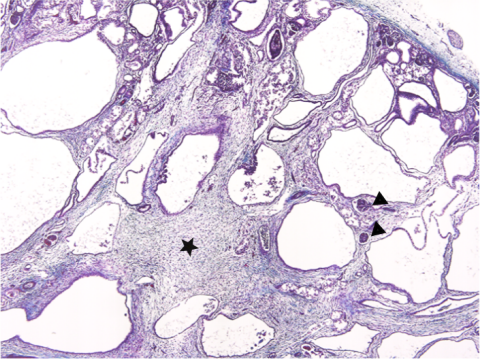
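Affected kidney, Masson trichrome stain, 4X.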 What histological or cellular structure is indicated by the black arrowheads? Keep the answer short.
Immature glomeruli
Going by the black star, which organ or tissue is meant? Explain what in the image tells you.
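The star sits in a broad, pale, loosely textured band. The band separates large empty rounded spaces.
Hence: loose connective tissue.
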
